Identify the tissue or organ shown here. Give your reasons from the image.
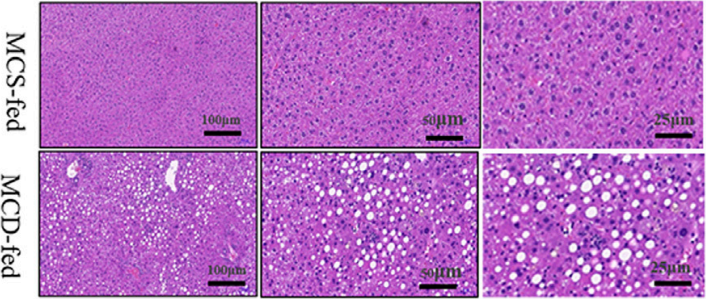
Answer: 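Liver tissues. Polygonal cells with round central nuclei and pink cytoplasm fill the field.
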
